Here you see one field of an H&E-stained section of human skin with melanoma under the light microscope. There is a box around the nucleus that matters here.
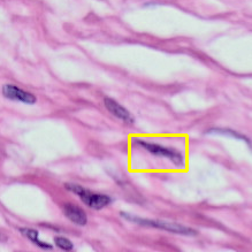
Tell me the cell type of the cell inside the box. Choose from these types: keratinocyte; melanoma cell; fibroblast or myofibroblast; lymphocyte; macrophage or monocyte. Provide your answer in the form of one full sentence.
In short, the cell inside the box on this section is a fibroblast or myofibroblast.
